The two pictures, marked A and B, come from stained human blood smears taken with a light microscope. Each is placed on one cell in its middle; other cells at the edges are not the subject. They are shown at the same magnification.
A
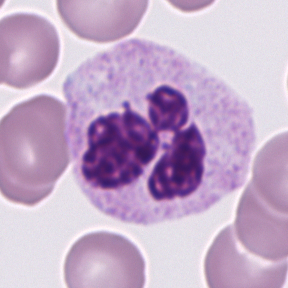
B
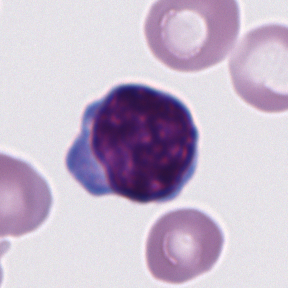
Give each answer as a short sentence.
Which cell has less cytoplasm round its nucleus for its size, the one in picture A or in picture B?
In picture B the nucleus takes up the larger part of its cell.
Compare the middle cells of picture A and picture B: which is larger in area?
Larger is the cell in picture A, at roughly 2 times the area of the other.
